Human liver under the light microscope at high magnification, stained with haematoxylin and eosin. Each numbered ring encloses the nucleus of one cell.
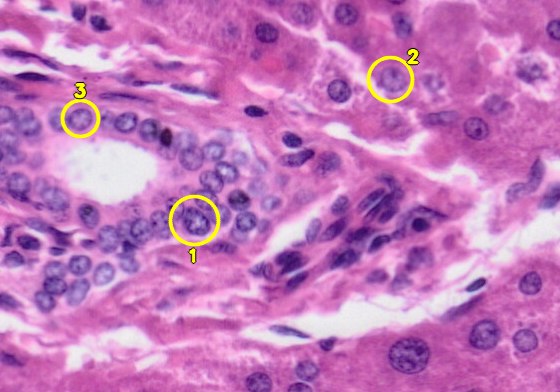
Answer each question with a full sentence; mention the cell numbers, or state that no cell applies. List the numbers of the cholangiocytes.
The cells numbered 1 and 3 fall into the category of cholangiocytes.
